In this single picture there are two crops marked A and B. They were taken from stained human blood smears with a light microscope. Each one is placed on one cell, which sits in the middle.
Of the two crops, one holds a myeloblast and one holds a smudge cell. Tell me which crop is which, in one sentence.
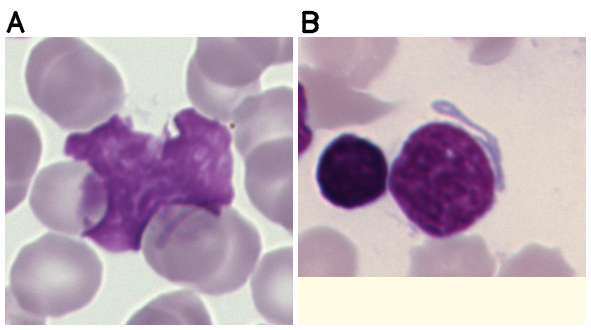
Crop A has a smudge cell at its centre, and crop B has a myeloblast.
